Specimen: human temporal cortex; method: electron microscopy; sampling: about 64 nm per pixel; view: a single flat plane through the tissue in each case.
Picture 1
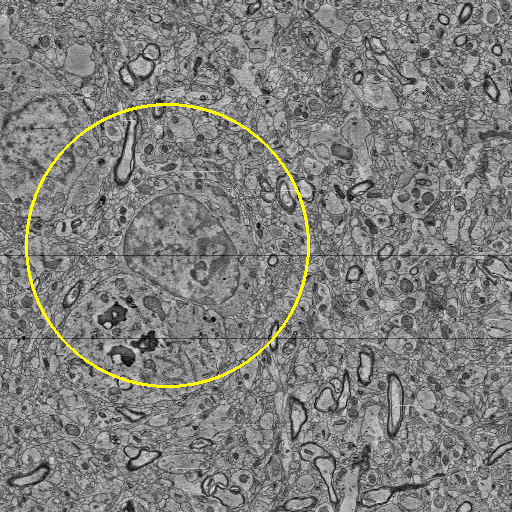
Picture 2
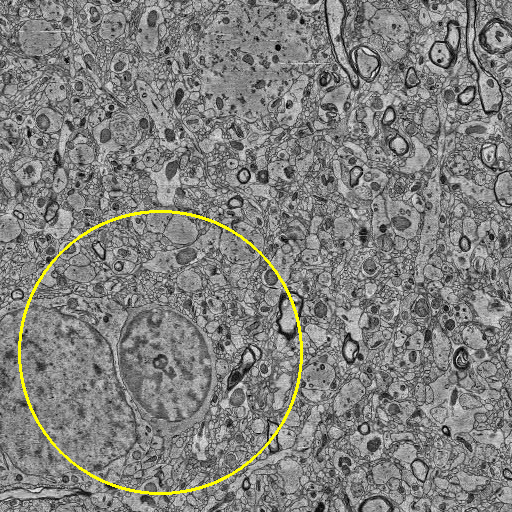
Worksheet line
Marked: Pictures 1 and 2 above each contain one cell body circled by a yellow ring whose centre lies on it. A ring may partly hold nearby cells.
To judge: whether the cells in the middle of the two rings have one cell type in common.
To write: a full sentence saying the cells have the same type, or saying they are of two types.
The cells in the middle of the rings in Picture 1 and Picture 2 have the same type.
